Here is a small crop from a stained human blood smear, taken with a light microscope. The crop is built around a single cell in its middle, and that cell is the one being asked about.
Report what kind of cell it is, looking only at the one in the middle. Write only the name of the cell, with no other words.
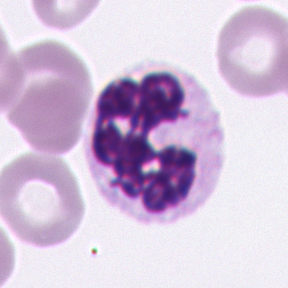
neutrophil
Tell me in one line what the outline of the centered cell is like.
If you check the edge, you will find it smooth without projections.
